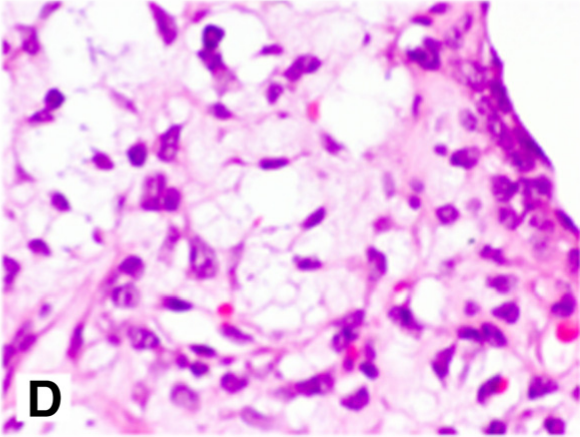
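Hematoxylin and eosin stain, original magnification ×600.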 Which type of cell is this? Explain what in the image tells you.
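Several cells have cytoplasm filled with multiple clear round vacuoles. Dark nuclei sit at the edge of, and are indented by, the clear vacuoles. On this evidence: multi-vacuolated lipoblasts.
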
